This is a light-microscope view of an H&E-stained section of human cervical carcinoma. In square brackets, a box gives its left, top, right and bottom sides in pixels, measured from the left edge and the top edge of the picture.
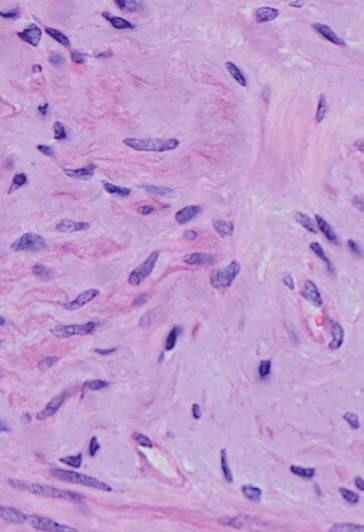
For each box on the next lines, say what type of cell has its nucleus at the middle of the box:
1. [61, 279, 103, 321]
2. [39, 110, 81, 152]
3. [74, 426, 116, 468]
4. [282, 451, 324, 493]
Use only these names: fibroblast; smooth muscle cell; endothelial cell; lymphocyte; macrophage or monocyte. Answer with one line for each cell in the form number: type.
1: smooth muscle cell
2: fibroblast
3: fibroblast
4: fibroblast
